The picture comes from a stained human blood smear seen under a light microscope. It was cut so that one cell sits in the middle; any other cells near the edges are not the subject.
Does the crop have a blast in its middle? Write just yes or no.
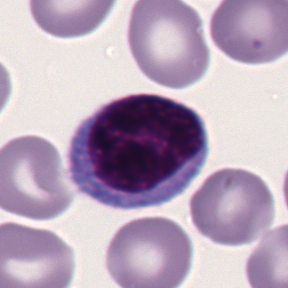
no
